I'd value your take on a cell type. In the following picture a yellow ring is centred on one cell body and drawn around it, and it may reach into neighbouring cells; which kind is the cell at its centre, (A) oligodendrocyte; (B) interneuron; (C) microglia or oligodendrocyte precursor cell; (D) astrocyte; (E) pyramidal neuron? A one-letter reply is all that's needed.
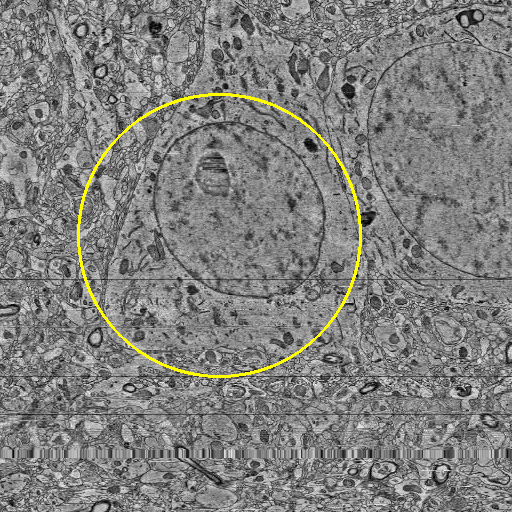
E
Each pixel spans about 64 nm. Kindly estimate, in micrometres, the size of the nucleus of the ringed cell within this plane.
The nucleus of the ringed cell is approximately 13 by 11 micrometres in this plane.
